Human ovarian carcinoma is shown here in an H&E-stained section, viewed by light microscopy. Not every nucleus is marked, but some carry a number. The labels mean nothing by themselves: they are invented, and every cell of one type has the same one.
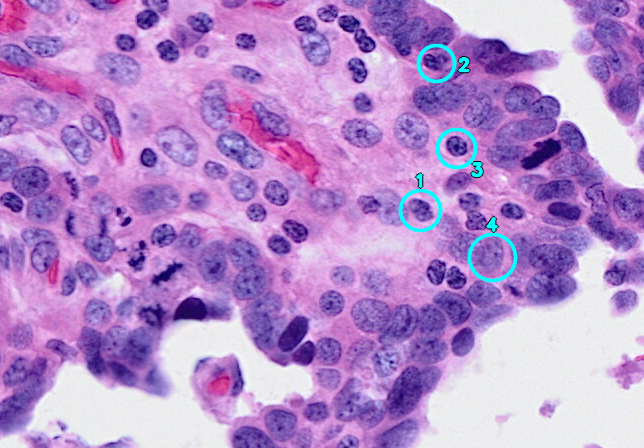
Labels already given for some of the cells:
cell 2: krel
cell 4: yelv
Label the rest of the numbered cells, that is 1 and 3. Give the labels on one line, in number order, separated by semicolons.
krel; krel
